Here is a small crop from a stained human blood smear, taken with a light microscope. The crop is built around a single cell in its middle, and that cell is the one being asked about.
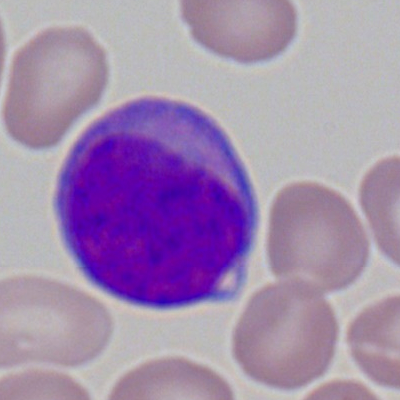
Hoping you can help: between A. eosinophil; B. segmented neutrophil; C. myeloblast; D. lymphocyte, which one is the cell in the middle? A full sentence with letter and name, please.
The central cell of the crop is a myeloblast, which makes C the correct option.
